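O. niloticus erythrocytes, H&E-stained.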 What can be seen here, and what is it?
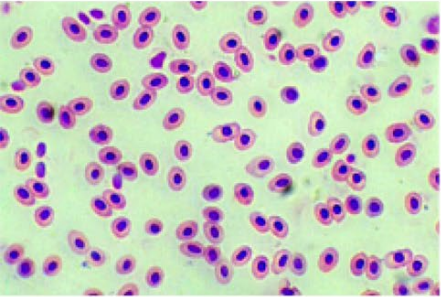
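The cells are of much the same size and lie mostly singly, spread over a pale background. Their nuclei look compact and regular in outline.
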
